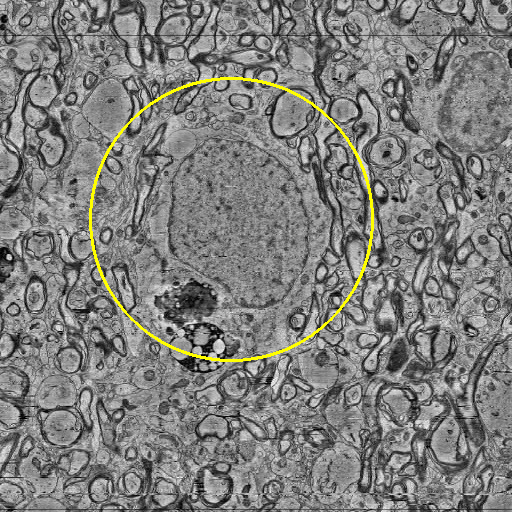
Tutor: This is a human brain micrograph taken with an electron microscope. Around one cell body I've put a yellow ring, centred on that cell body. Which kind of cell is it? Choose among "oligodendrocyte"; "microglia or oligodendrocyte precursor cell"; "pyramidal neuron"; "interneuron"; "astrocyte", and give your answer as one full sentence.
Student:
Going by your list, the cell centred in the yellow ring is an astrocyte.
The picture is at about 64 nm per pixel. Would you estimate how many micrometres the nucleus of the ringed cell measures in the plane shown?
About 11 by 9 micrometres in this plane.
